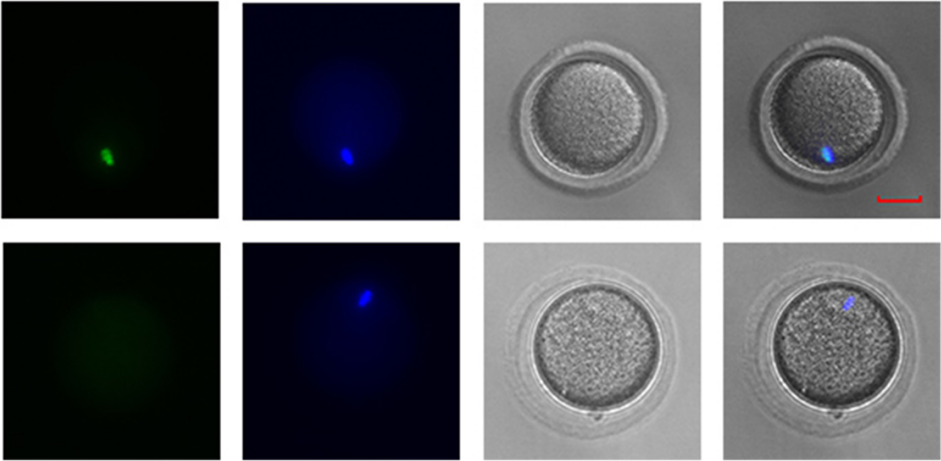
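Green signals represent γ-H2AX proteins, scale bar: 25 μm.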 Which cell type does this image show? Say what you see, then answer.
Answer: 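Each image shows a single large round cell. The cell is surrounded by a thick clear outer coat with a narrow space inside it. The cytoplasm is evenly granular. A single small compact blue body lies near the edge of the cell. That points to this answer: oocytes.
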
